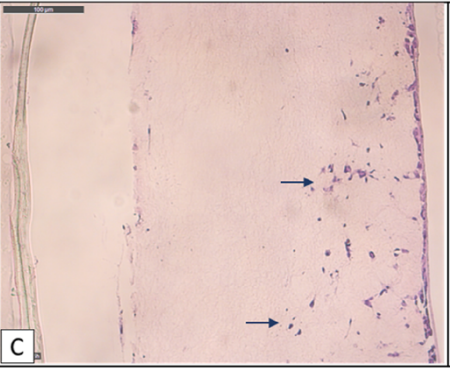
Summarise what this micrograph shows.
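Along the right-hand edge the cells form a dense, continuous purple band. From this band, groups and clusters of rounded to irregular purple cells extend inwards into the right half of the matrix. The left half of the matrix is largely free of cells, apart from a thin line of stained cells along its left margin. At the far left runs a thin, striated strip that is separate from the tissue.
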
